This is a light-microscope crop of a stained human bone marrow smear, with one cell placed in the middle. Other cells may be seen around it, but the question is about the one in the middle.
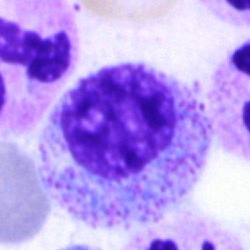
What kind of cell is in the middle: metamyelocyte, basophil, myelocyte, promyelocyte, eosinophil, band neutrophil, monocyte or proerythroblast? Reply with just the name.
myelocyte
